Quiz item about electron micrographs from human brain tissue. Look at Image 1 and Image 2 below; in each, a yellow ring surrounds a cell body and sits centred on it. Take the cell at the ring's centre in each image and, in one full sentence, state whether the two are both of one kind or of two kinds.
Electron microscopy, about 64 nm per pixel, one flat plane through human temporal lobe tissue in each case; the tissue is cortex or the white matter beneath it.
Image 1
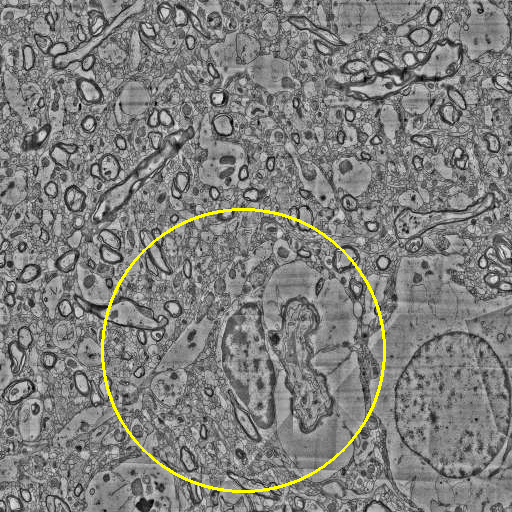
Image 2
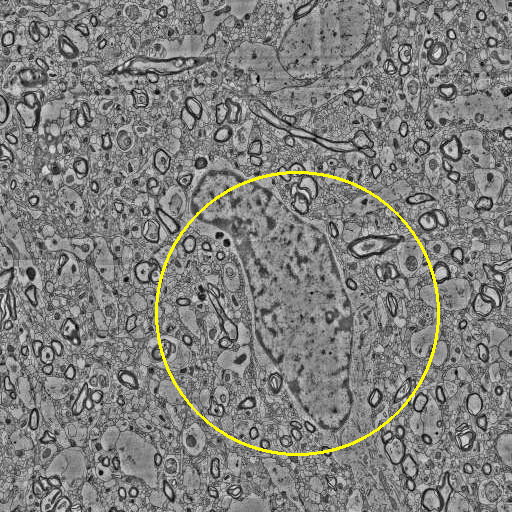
In Image 1 and Image 2, the cells at the ring centres are both of one kind.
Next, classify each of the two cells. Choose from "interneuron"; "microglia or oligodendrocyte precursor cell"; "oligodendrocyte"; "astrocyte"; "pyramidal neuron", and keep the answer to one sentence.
Both rings mark a microglial cell or oligodendrocyte precursor cell, one in each picture.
